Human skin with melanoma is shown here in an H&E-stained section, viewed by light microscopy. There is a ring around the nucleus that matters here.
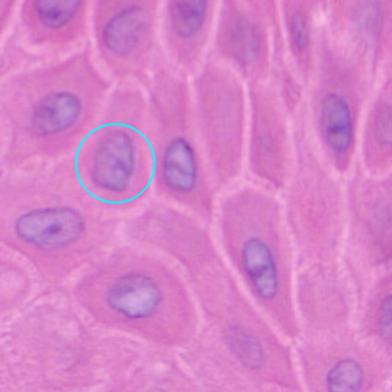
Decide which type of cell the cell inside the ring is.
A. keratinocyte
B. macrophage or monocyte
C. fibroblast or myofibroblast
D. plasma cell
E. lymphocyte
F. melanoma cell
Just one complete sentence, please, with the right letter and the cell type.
It is option A that is correct, the cell inside the ring being a keratinocyte.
